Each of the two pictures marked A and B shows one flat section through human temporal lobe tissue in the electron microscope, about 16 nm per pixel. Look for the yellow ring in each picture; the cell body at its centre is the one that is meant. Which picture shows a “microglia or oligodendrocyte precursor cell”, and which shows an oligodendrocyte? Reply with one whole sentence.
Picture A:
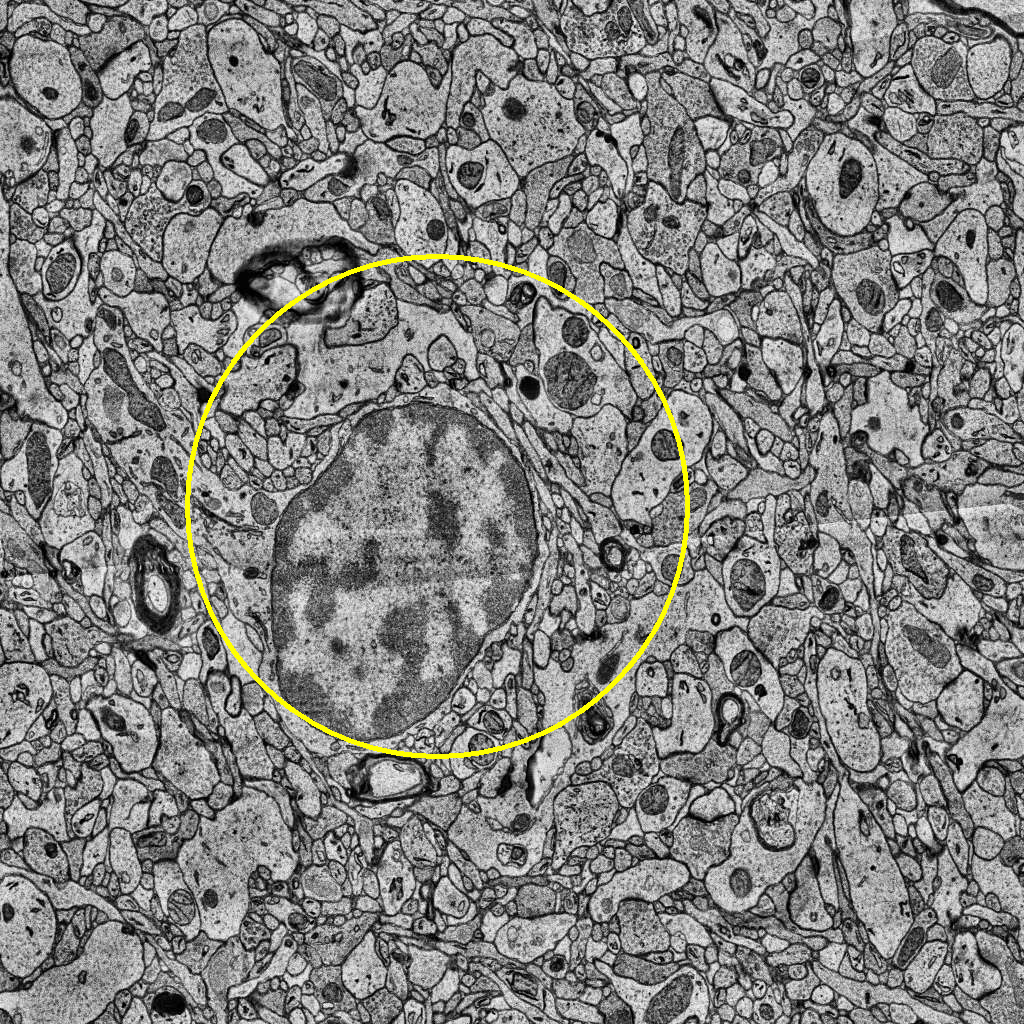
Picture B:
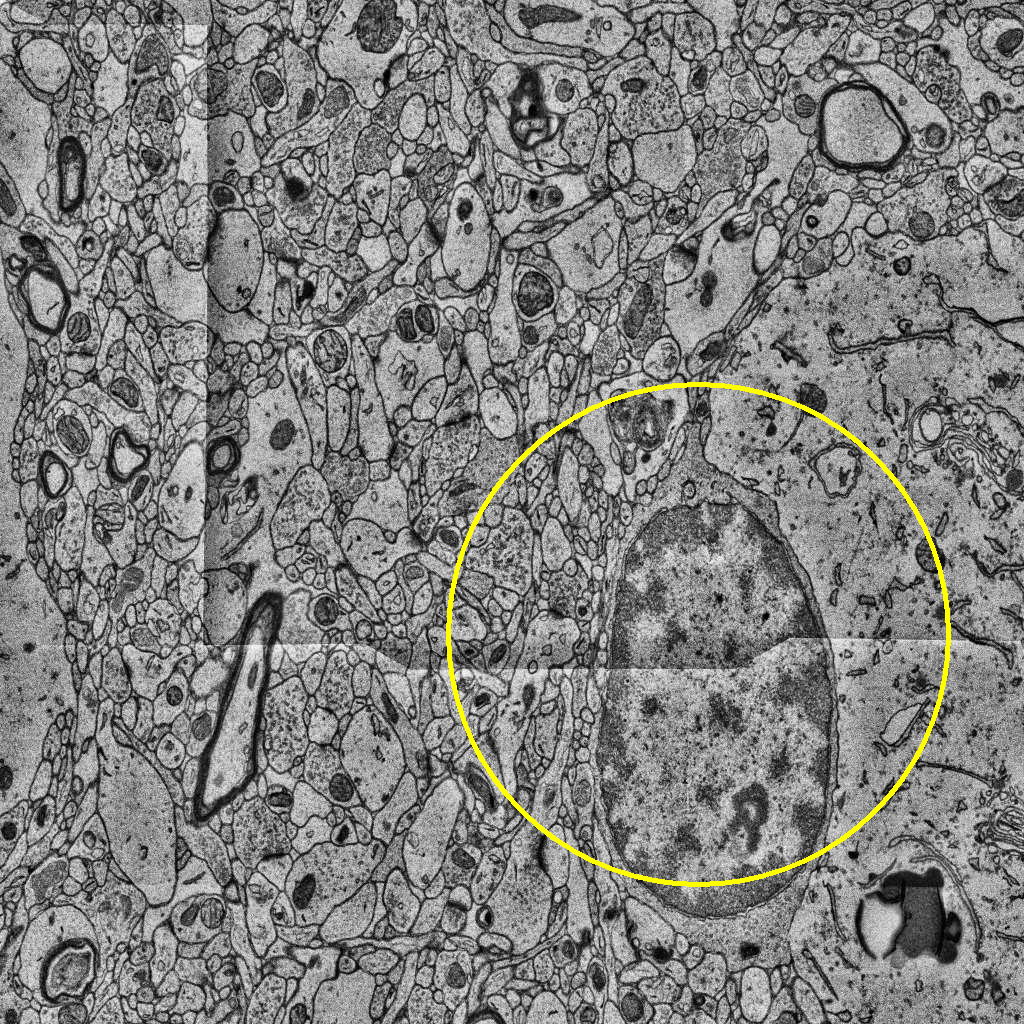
The cell in picture A is a “microglia or oligodendrocyte precursor cell”, and the one in picture B is an oligodendrocyte.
